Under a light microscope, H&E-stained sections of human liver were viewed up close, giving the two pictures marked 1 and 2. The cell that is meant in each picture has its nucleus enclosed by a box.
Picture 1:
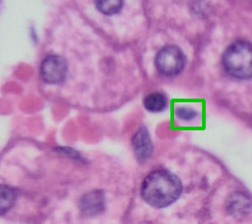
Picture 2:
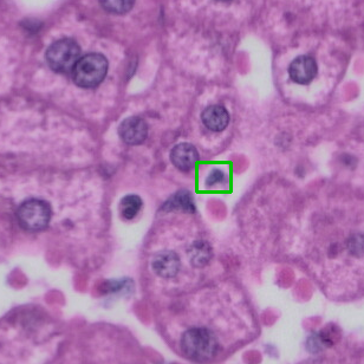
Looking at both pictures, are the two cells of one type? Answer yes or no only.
yes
